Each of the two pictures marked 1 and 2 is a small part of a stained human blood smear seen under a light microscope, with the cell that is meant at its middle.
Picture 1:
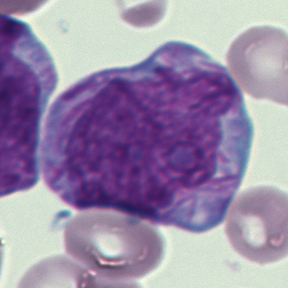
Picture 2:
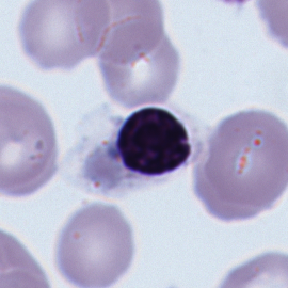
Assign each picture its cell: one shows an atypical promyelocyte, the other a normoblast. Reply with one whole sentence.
Picture 1 shows an atypical promyelocyte and picture 2 shows a normoblast.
